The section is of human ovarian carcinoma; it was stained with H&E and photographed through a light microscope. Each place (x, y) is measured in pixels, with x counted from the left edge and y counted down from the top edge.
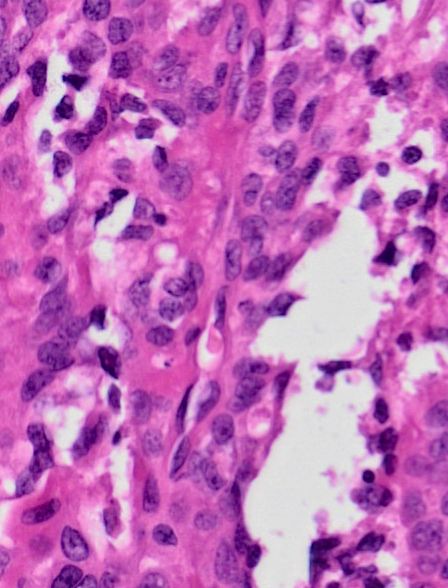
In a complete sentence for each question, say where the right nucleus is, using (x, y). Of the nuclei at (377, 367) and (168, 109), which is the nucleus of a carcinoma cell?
The nucleus of a carcinoma cell lies at (168, 109), not at the other position.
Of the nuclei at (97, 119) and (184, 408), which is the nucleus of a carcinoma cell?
The nucleus at (97, 119) is housed in a carcinoma cell.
